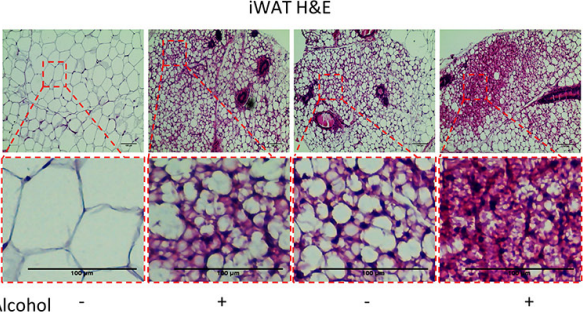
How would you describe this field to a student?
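In the leftmost field the adipocytes are large and polygonal, each filled by one clear vacuole and bounded by a thin pink-purple rim. In the other fields the adipocytes are much smaller and many contain several small vacuoles. More purple-staining cytoplasm lies between the vacuoles, and in the rightmost field the tissue is crowded and densely purple.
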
